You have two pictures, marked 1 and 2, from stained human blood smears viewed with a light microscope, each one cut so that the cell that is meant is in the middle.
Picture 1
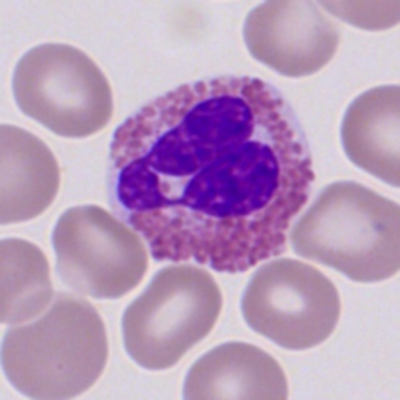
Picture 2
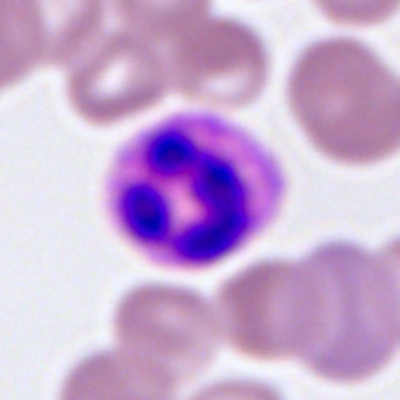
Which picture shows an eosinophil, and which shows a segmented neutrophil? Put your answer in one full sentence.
Picture 2 shows a segmented neutrophil, while picture 1 shows an eosinophil.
